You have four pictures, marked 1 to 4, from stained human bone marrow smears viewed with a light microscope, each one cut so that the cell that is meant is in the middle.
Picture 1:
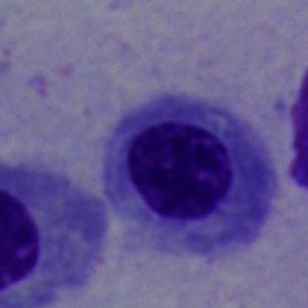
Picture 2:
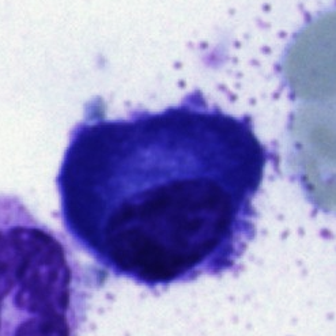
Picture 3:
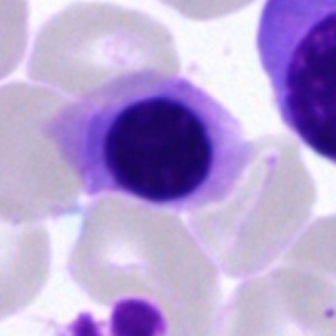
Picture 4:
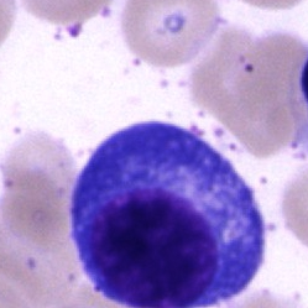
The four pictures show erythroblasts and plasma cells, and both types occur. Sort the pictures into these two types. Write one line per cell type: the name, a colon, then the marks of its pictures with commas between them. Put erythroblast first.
erythroblast: 1, 3
plasma cell: 2, 4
